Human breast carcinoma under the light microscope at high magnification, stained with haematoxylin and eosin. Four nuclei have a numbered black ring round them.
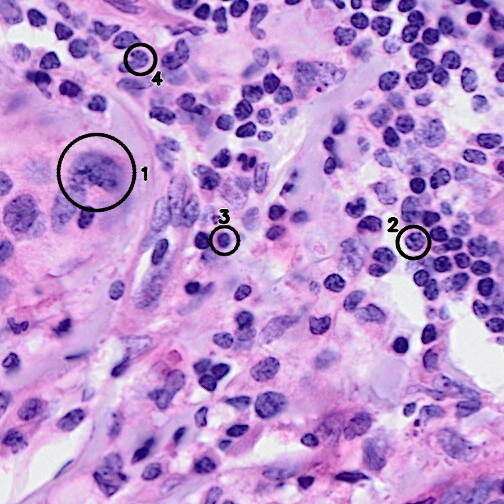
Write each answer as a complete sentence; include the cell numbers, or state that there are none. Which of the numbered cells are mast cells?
Classed by type, none of the numbered cells are mast cells.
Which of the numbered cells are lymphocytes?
To be specific, the cells numbered 2, 3 and 4 are lymphocytes.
